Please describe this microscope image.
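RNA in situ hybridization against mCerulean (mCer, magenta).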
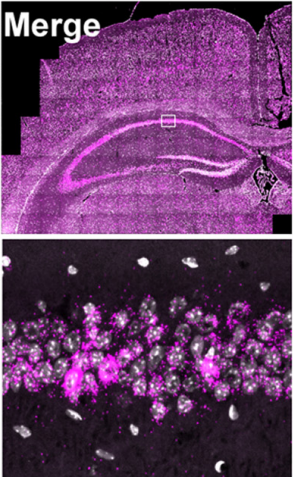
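The upper image shows a section through the cortex and the curved hippocampal cell layers, with magenta puncta scattered across the cortex and concentrated in the hippocampal cell bands. The lower image enlarges part of the pyramidal cell layer, a horizontal band of closely packed round nuclei stained white. Magenta puncta are dense within this band, and a few cell bodies are strongly filled with magenta. Outside the band, only scattered small, elongated nuclei are present and show little magenta.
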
